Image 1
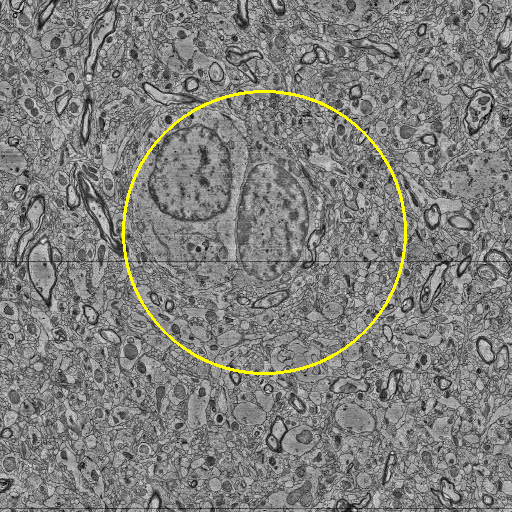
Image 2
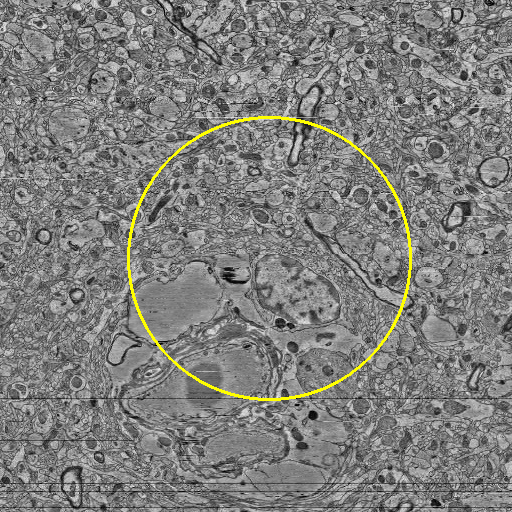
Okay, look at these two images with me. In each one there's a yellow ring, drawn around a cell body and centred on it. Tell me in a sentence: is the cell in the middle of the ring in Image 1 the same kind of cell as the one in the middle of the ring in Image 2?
No, they're two kinds of cell.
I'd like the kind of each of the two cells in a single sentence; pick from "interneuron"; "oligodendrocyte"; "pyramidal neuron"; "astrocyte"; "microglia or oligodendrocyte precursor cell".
The first ring marks an oligodendrocyte, and the second ring marks a microglial cell or oligodendrocyte precursor cell.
